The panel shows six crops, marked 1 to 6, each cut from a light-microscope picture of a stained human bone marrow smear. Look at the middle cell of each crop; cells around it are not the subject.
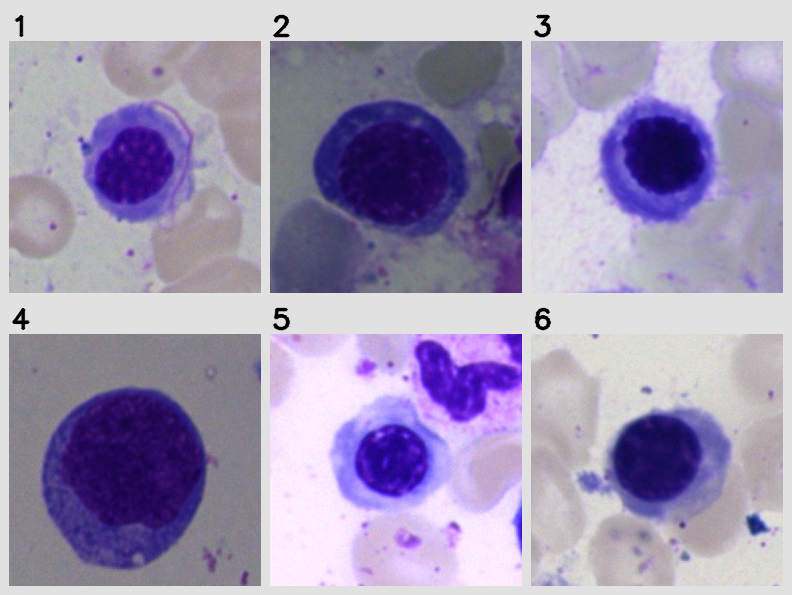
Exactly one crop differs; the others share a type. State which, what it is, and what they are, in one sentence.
Crop 4 is a blast, the one exception to the normoblasts of the other crops.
